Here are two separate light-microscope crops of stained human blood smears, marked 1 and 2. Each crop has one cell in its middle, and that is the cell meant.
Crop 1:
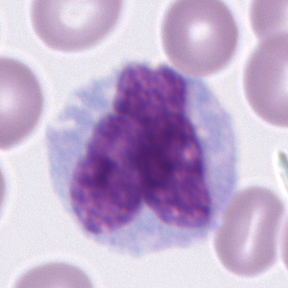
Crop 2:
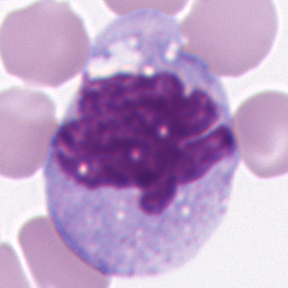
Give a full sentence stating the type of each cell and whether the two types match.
Yes, in short, both crops show monocytes.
